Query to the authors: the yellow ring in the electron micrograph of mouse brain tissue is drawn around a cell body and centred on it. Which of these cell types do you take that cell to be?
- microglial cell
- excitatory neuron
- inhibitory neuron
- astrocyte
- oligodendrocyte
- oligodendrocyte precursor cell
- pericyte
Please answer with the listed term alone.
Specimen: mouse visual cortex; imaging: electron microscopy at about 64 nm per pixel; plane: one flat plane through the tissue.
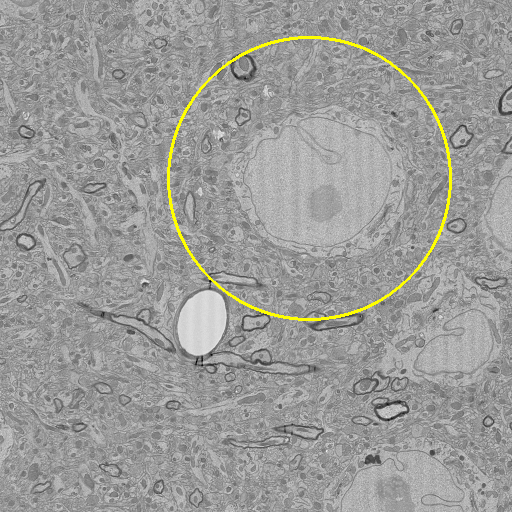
excitatory neuron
